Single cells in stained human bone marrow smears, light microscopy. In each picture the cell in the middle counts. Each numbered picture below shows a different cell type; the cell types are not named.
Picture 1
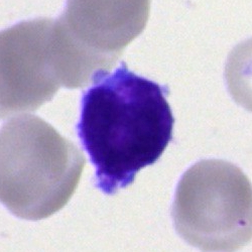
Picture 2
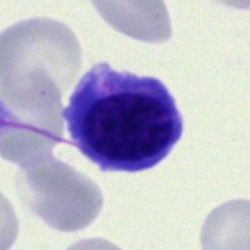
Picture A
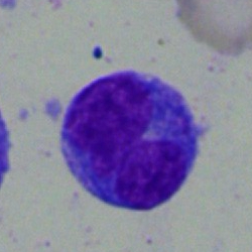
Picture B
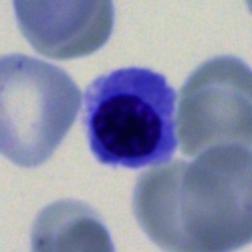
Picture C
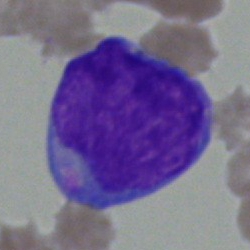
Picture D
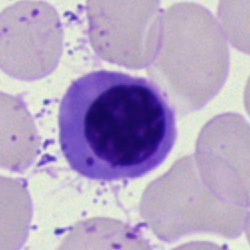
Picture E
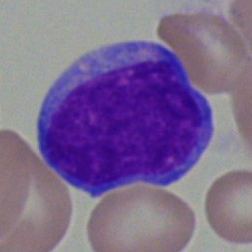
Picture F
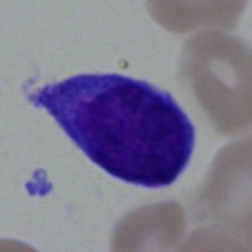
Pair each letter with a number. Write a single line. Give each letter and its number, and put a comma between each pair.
A 1, B 2, C 1, D 2, E 1, F 1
